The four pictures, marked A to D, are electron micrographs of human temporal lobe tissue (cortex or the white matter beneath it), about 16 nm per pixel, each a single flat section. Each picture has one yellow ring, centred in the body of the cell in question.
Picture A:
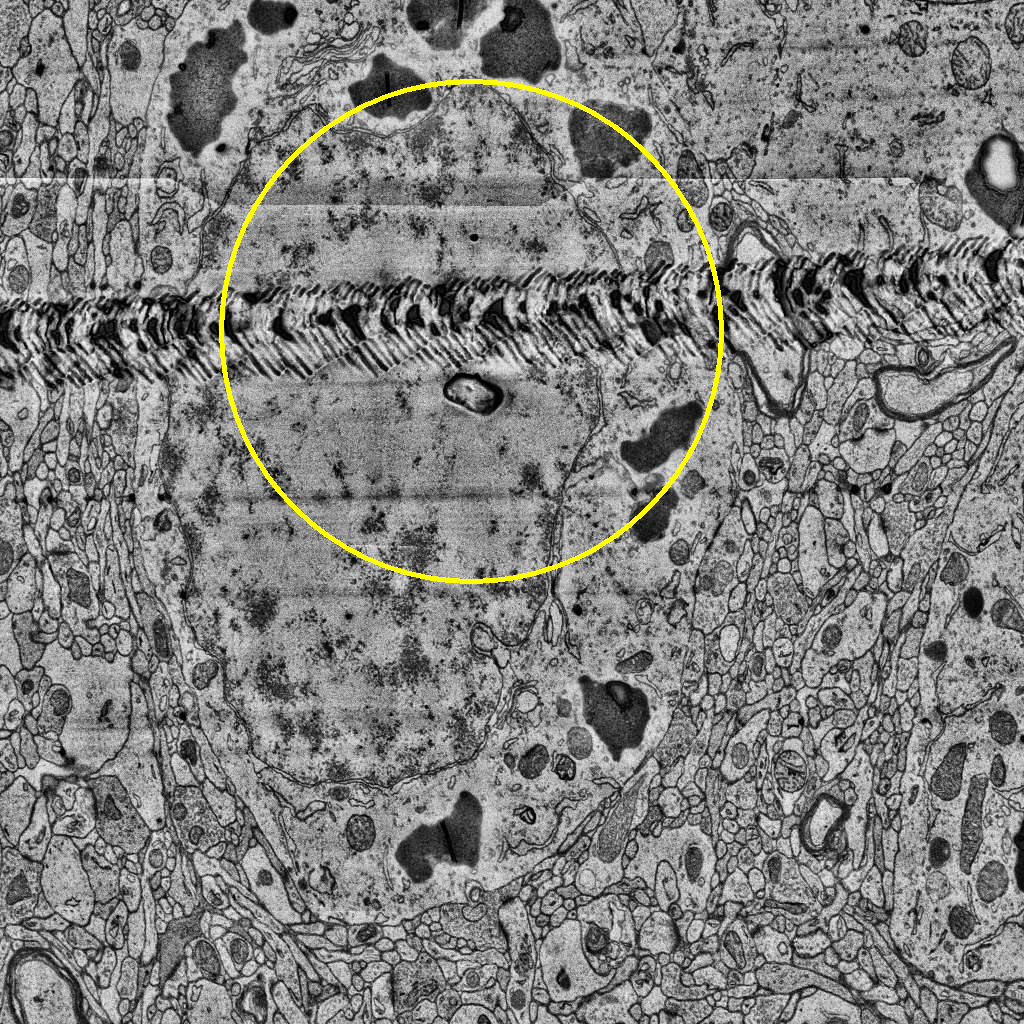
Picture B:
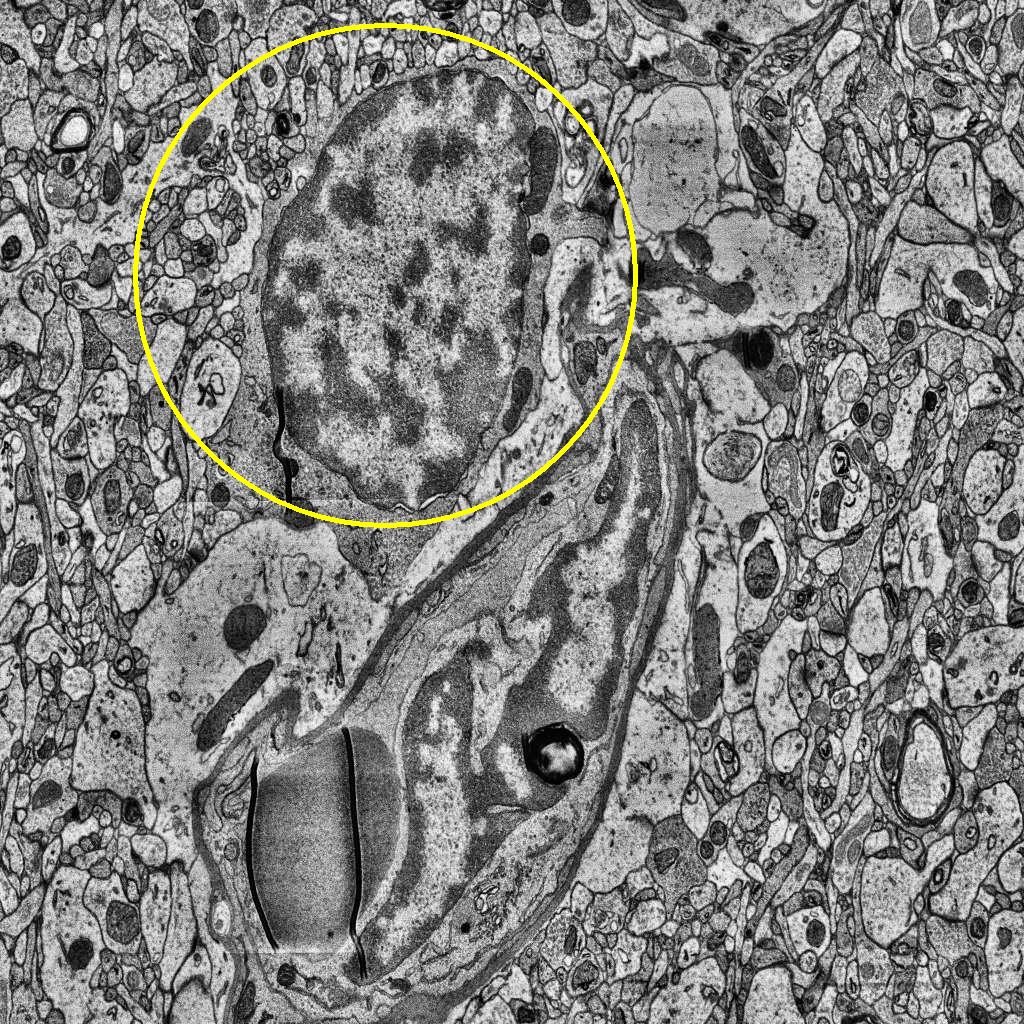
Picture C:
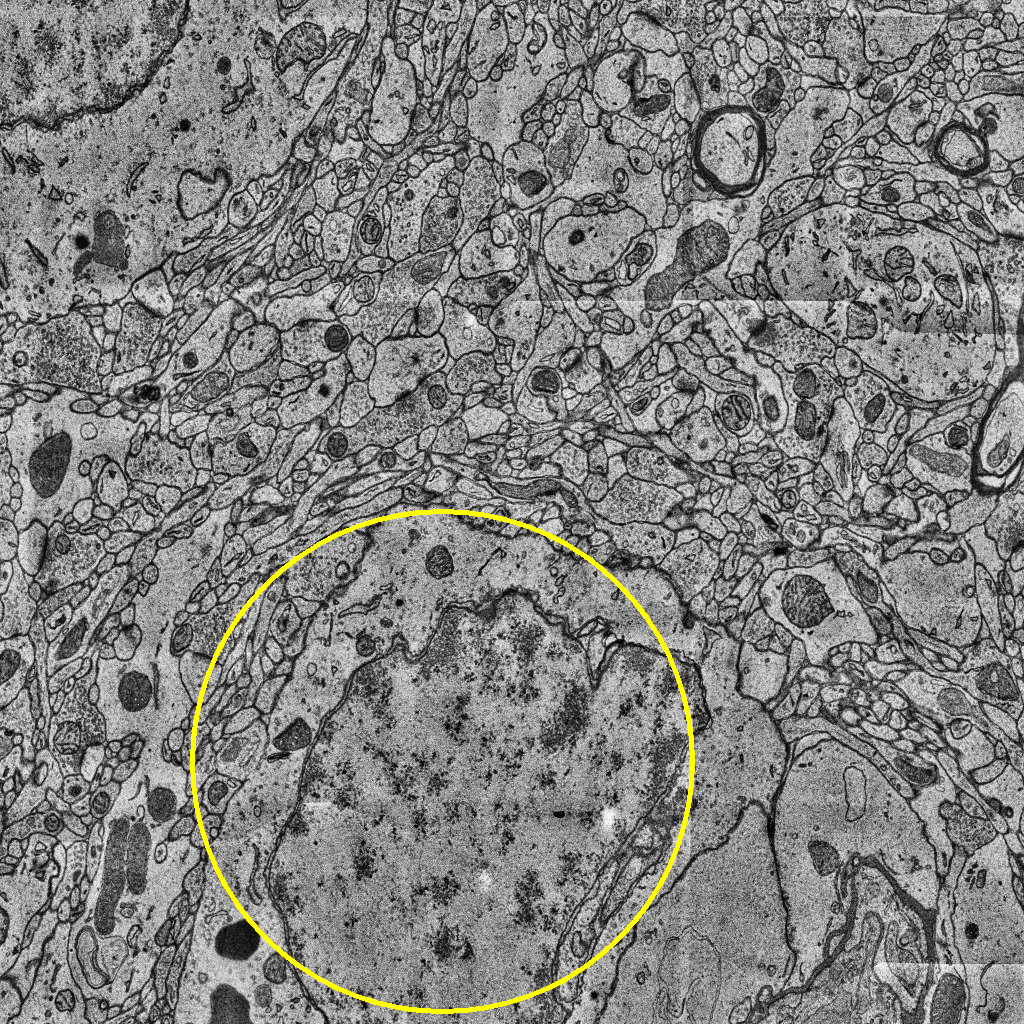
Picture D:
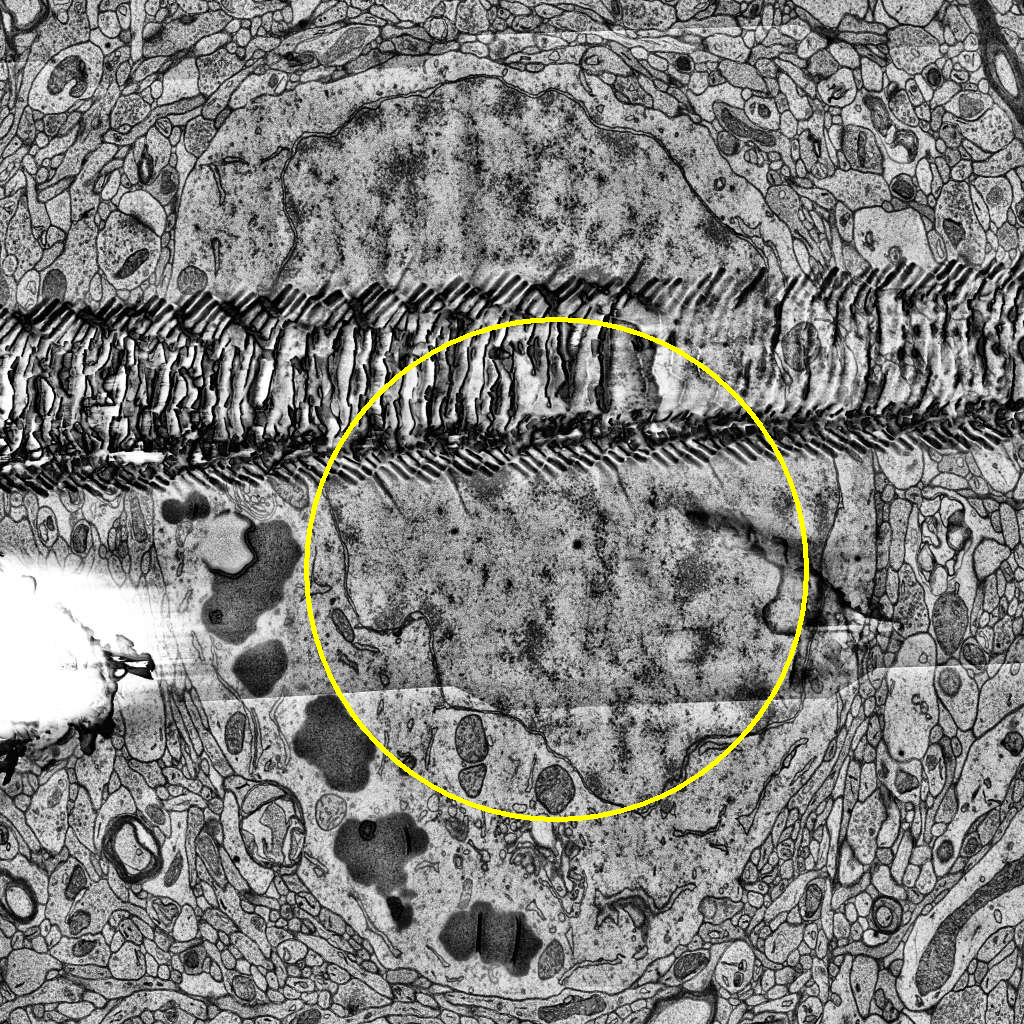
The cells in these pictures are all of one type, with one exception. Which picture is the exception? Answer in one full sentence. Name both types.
The others show interneurons, but picture B shows an oligodendrocyte.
